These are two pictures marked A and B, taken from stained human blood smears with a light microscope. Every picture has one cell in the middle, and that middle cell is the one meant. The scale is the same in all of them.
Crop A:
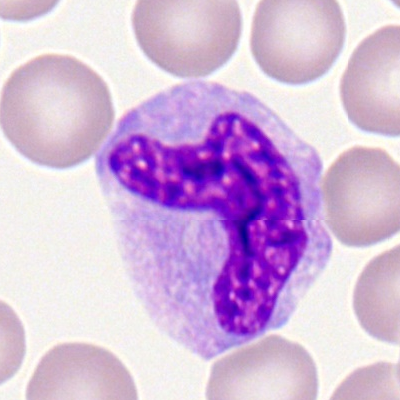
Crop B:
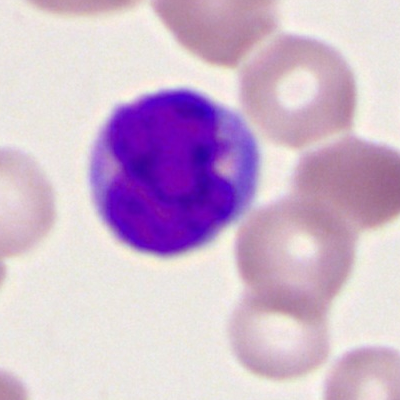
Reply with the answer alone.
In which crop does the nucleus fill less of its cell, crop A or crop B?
A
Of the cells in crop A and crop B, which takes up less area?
B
